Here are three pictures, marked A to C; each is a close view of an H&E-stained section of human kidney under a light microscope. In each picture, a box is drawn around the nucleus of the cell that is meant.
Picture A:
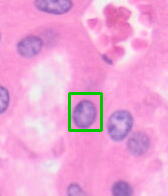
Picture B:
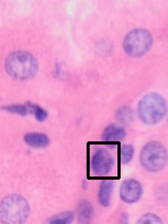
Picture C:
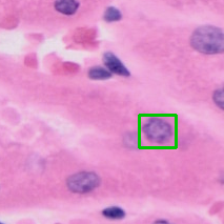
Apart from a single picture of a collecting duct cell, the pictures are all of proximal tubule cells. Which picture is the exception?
B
